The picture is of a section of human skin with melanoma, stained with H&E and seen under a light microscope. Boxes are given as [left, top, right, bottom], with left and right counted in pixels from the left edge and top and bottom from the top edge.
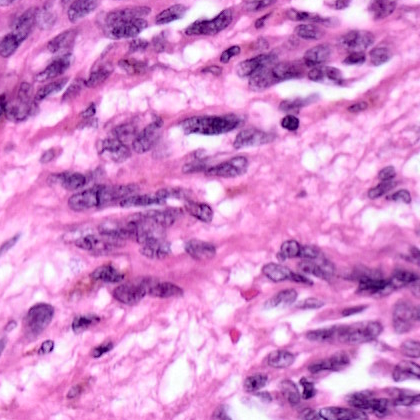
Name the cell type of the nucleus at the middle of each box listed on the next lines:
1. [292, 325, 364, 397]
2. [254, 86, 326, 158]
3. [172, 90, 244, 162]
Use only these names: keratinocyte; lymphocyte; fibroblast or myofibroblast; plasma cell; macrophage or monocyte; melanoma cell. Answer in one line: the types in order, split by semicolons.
melanoma cell; lymphocyte; melanoma cell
